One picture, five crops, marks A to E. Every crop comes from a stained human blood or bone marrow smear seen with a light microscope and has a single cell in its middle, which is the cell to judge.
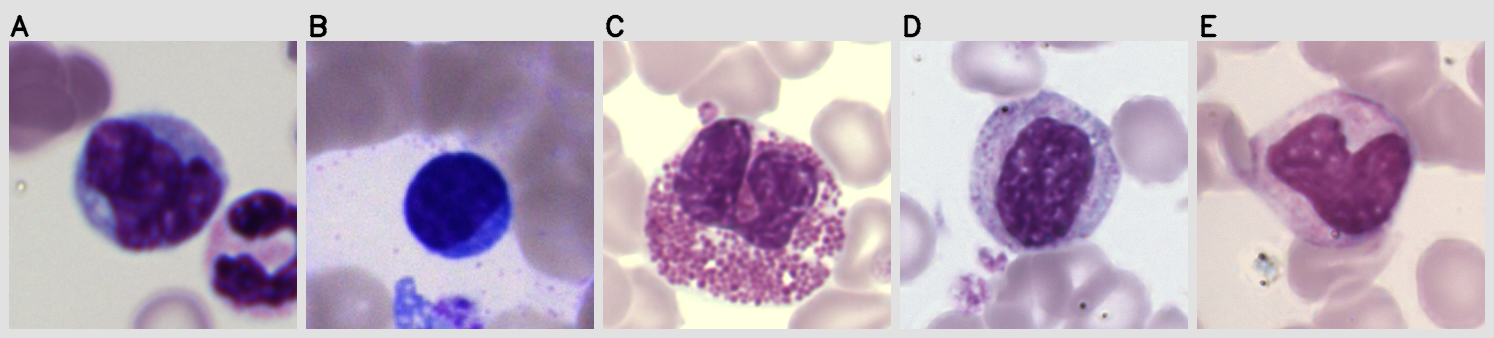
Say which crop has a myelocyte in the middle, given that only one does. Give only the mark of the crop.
D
